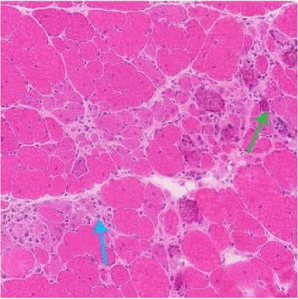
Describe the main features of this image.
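This is skeletal muscle in cross-section showing dystrophic changes. The pink muscle fibers vary widely in size and shape, from large rounded fibers to small ones, instead of the even polygonal pattern of normal muscle. Between fibers, especially toward the center, there are patches crowded with small dark-blue nuclei marking inflammatory infiltrates, and the spaces between fibers are widened. Several fibers are stained dark purple and granular, consistent with calcification. Some fibers appear pale and washed out, and some contain nuclei away from the fiber edge.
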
